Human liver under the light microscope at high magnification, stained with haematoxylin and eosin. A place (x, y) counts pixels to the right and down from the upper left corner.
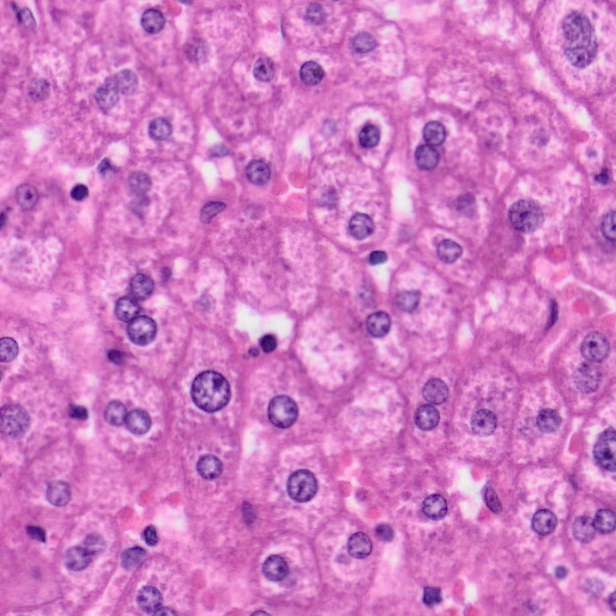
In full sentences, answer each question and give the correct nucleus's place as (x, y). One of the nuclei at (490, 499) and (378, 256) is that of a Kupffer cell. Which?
So, of the two, the nucleus at (490, 499) is the one belonging to a Kupffer cell.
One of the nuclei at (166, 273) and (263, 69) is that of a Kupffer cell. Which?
Of the two options, the nucleus at (166, 273) is the one that belongs to a Kupffer cell.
